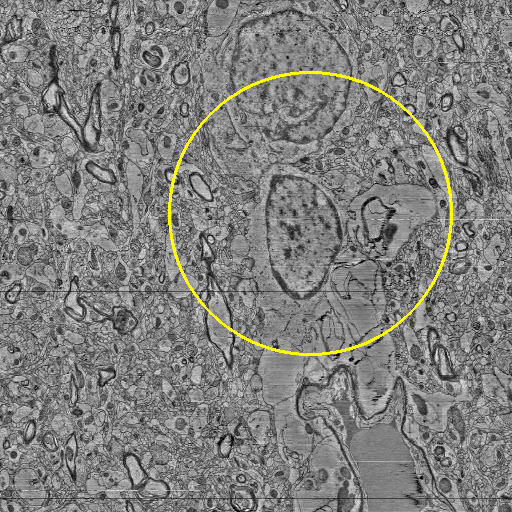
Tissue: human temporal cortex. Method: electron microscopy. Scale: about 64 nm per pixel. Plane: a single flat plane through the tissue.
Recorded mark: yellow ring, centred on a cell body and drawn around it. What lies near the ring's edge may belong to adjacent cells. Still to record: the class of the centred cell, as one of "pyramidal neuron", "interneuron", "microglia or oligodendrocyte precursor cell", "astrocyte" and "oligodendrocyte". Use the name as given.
microglia or oligodendrocyte precursor cell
